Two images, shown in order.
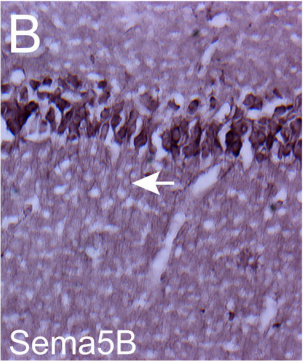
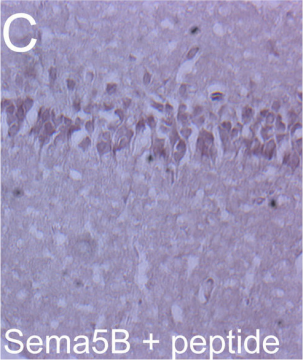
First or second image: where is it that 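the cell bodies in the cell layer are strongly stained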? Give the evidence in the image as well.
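Second image: the cell band is only faintly grey-brown. First image: the cell band is dark brown with clearly outlined cell bodies. That points to this answer: the first image.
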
